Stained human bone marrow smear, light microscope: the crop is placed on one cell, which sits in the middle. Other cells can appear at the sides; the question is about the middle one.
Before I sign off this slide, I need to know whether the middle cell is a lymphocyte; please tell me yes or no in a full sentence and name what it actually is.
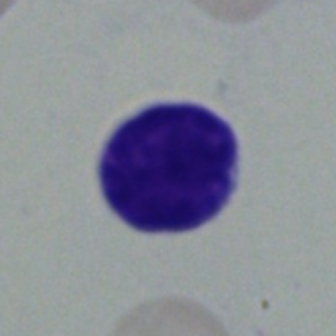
Yes, the identification of the central cell as a lymphocyte is correct.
